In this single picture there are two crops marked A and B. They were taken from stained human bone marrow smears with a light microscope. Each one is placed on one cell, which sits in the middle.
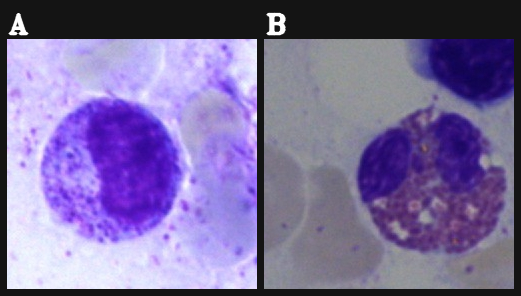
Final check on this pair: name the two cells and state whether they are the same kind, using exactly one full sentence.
No, crop A is to be identified as a metamyelocyte and crop B as an eosinophil.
